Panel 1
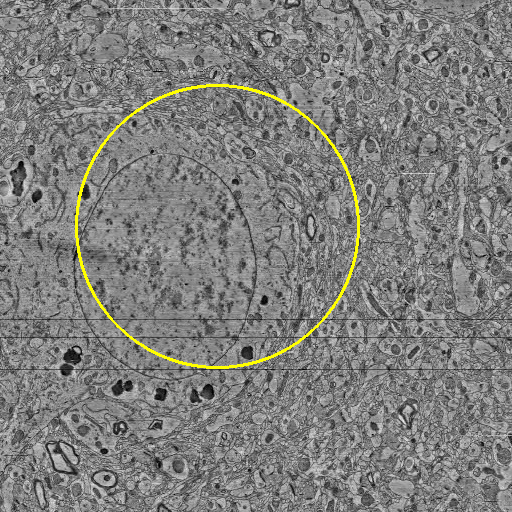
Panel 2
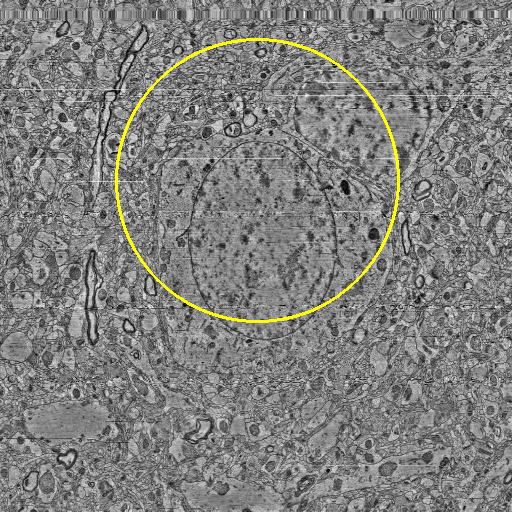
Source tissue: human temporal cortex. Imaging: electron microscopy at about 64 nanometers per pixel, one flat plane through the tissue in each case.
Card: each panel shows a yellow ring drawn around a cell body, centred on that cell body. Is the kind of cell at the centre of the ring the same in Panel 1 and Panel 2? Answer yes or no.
yes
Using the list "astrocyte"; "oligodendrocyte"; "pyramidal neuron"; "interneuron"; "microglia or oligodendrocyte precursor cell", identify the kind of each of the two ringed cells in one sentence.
Both the first and the second picture show a pyramidal neuron in the ring.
